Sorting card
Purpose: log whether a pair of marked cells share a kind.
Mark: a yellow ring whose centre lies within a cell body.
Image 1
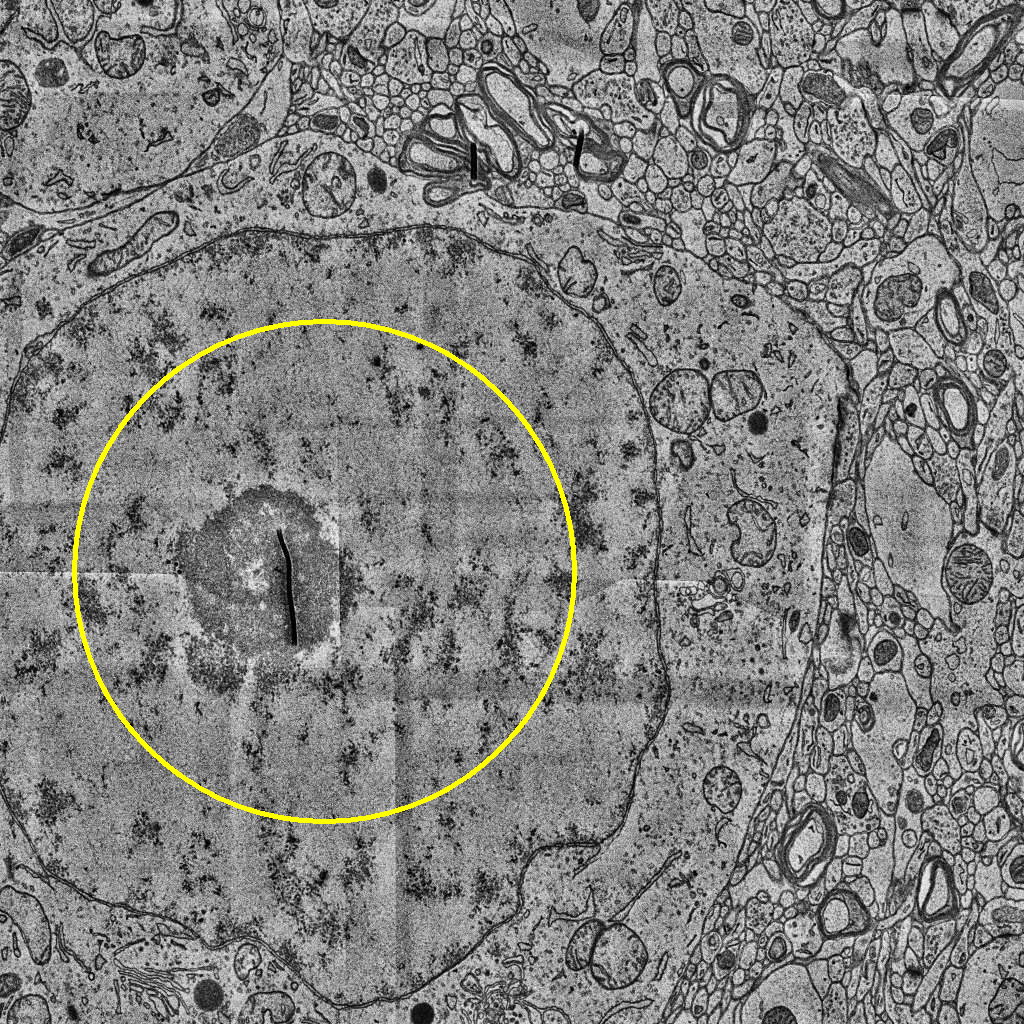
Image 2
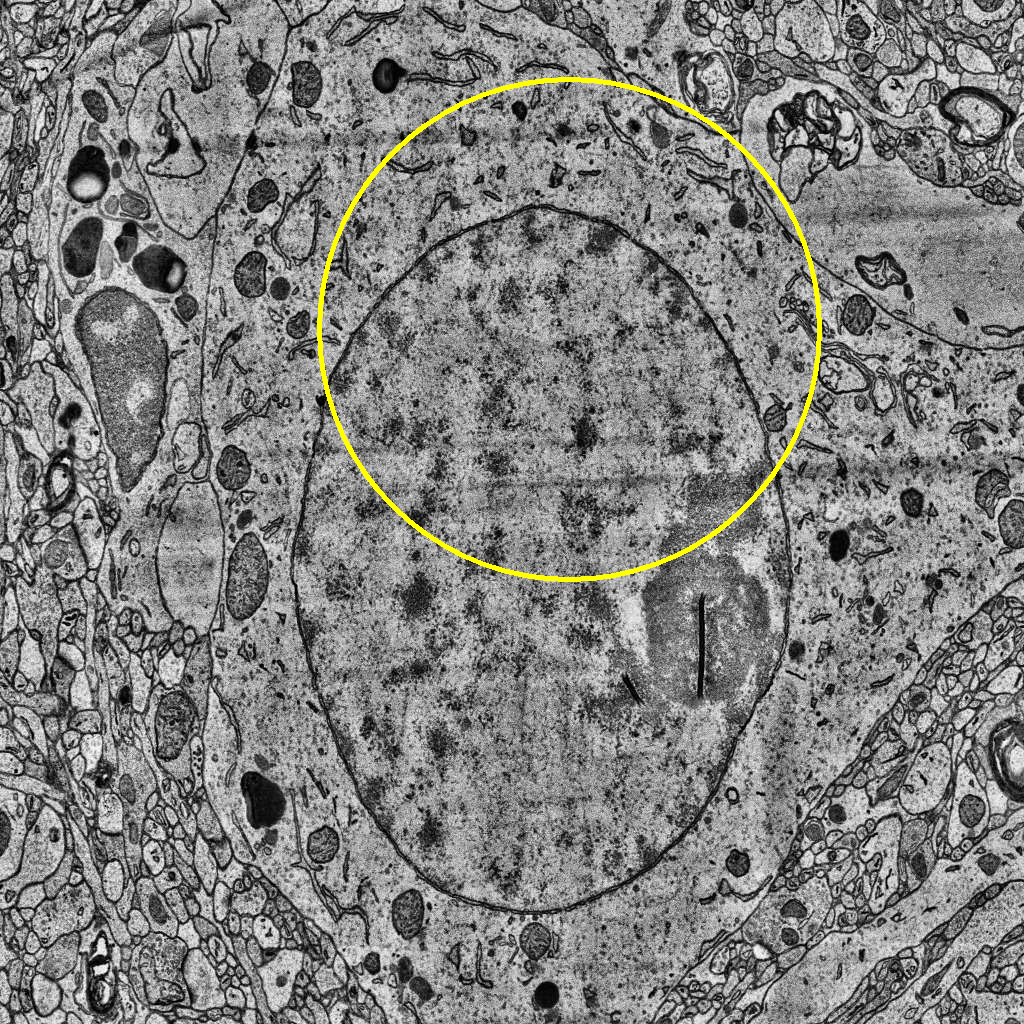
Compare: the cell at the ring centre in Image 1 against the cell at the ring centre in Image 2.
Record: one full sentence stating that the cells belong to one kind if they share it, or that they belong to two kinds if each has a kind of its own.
Across Images 1 and 2, the two cells at the ring centres belong to one kind.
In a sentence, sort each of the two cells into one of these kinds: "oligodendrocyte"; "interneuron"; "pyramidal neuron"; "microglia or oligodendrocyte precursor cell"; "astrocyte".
The first and the second cell are each a pyramidal neuron.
